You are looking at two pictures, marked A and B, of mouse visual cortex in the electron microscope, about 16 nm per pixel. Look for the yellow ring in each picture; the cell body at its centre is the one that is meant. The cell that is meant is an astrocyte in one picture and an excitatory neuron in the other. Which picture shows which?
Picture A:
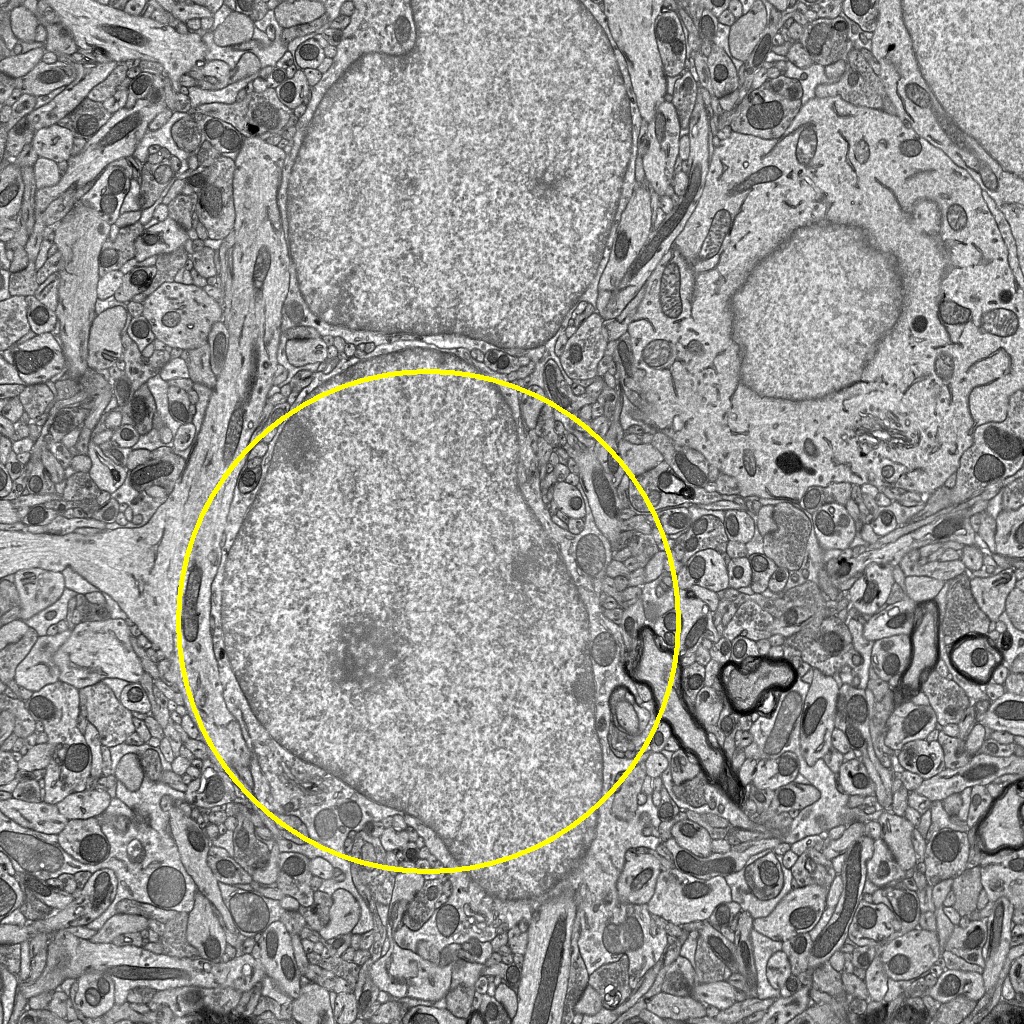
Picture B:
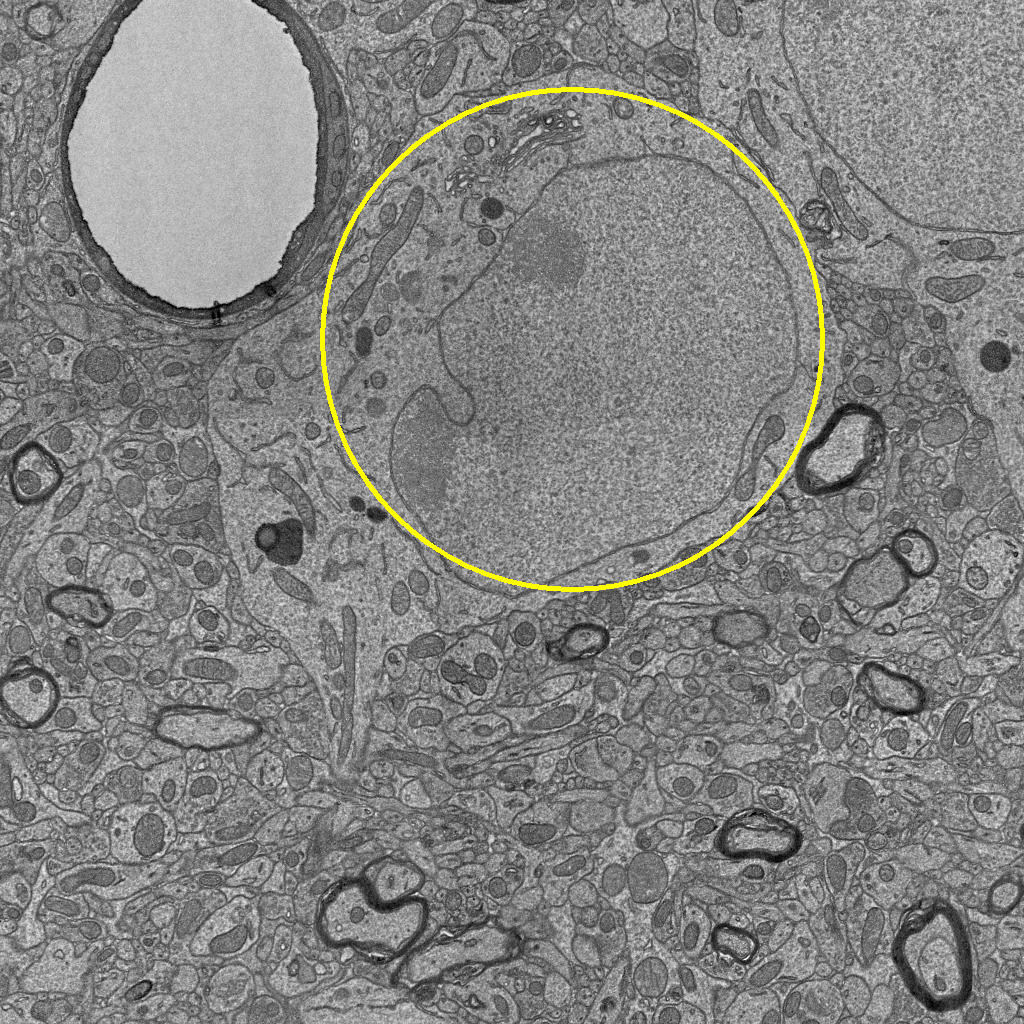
Picture B shows an excitatory neuron, while picture A shows an astrocyte.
